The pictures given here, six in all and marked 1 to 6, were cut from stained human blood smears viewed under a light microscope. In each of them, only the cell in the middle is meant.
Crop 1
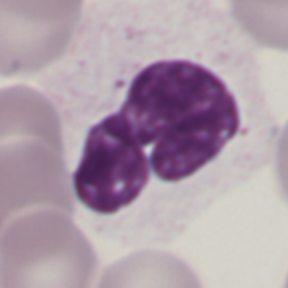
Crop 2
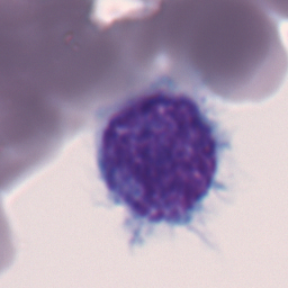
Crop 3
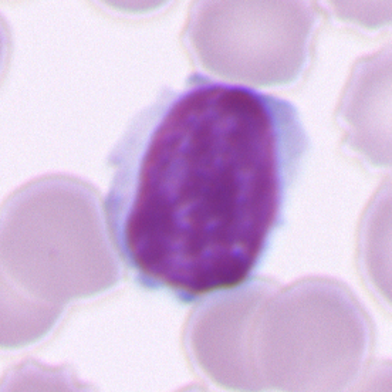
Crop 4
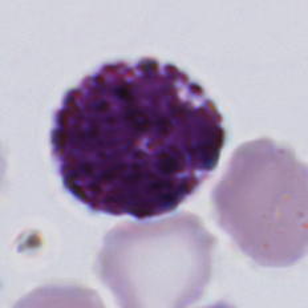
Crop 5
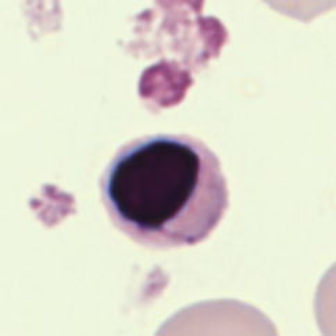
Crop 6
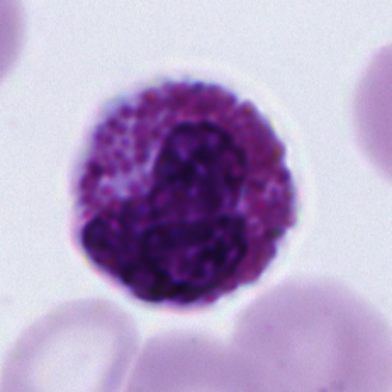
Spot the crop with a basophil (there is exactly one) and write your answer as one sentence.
As for which crop shows a basophil, it is crop 4.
